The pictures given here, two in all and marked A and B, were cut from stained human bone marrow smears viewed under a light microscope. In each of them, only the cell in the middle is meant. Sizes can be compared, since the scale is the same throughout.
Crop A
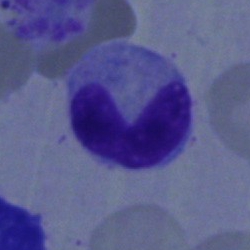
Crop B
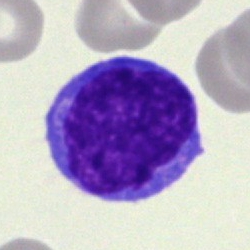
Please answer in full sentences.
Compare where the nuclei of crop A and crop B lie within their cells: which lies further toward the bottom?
It is the nucleus in crop A that lies further toward the bottom of its cell.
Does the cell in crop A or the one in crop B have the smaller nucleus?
It is the nucleus in crop A; the one in crop B has about 2 times its area.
